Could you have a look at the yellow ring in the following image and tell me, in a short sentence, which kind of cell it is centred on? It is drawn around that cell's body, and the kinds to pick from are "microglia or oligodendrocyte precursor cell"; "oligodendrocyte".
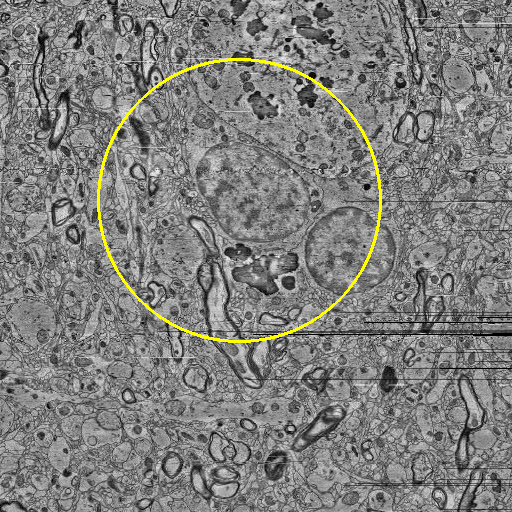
The ring is centred on the body of an oligodendrocyte.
